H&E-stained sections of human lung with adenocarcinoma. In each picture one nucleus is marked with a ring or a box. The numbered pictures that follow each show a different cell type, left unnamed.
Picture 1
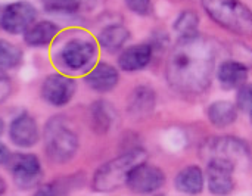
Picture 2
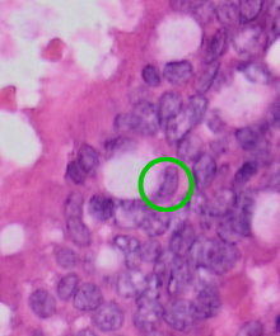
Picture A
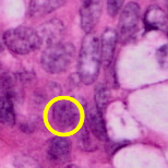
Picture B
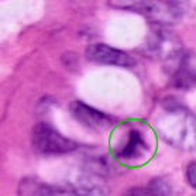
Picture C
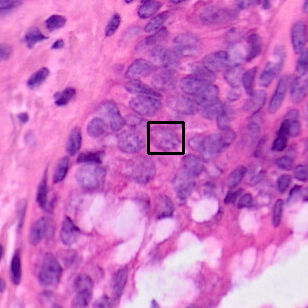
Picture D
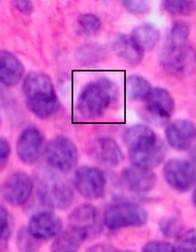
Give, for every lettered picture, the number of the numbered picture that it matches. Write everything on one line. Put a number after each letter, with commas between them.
A 2, B 2, C 2, D 1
